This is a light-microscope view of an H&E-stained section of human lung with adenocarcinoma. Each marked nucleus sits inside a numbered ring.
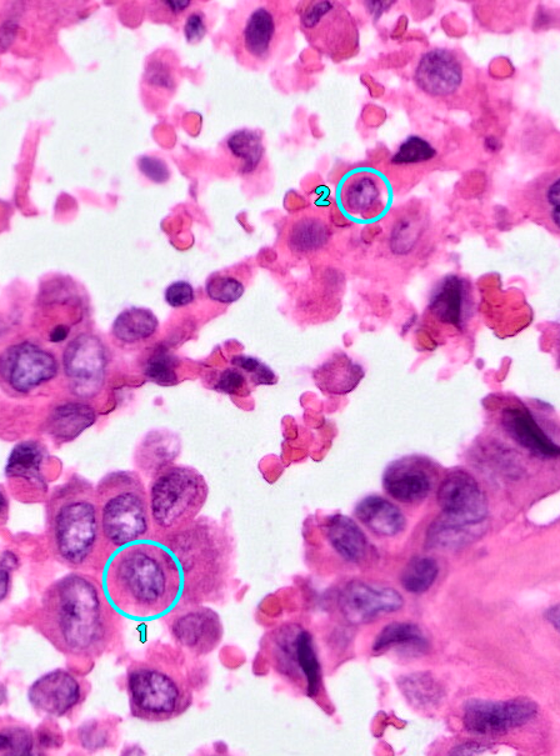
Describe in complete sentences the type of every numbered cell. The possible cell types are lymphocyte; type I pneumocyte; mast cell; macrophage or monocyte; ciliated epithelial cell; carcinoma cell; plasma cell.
Cell 1 is a carcinoma cell and cell 2 is a macrophage or monocyte.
